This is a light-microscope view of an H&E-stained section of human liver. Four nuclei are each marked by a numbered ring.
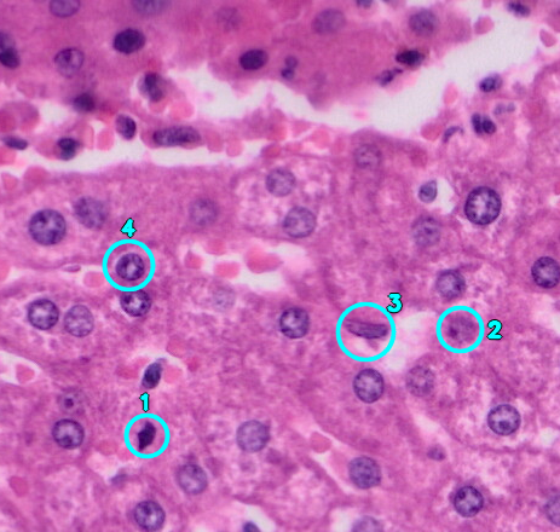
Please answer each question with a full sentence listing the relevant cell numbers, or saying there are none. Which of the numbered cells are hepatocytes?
The cells with labels 2 and 4 are hepatocytes.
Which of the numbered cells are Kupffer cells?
Cell number 3 alone is a Kupffer cell; the rest are not.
